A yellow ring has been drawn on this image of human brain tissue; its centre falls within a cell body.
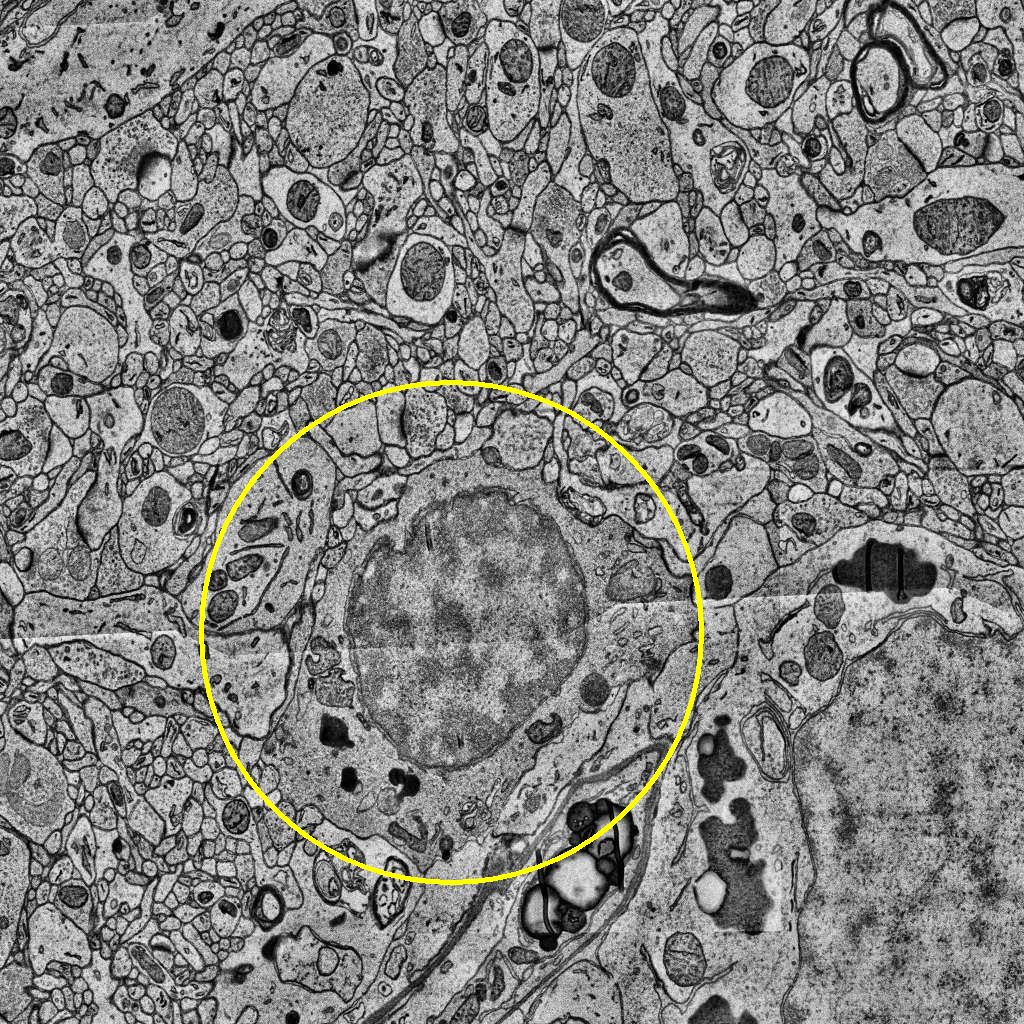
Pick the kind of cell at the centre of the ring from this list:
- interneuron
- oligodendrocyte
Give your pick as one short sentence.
The centre of the ring holds an oligodendrocyte.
